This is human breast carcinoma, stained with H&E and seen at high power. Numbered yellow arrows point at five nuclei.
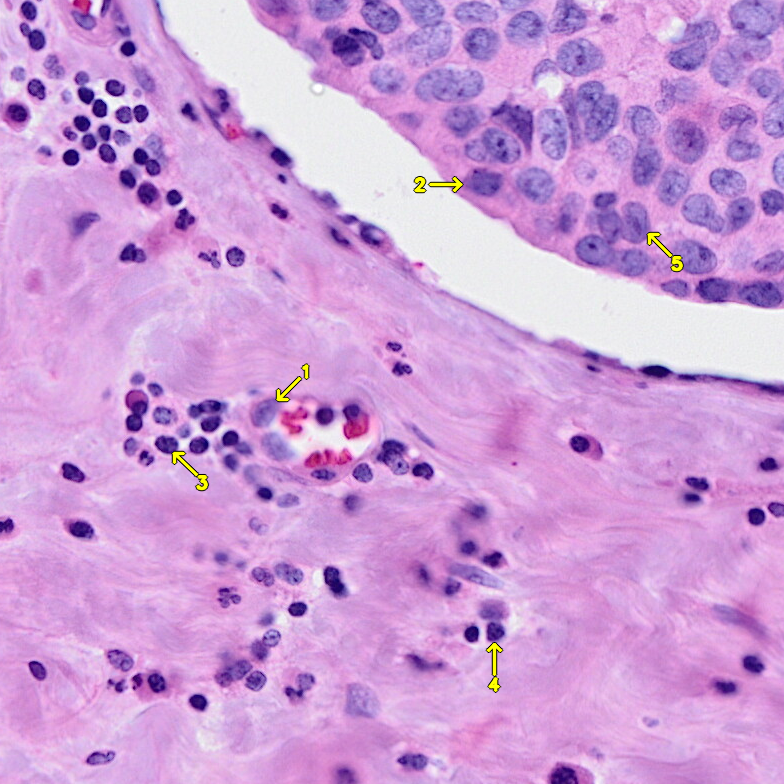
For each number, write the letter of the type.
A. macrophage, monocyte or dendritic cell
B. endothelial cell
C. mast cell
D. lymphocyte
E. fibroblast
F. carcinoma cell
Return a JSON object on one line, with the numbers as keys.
{"1": "B", "2": "F", "3": "D", "4": "D", "5": "F"}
